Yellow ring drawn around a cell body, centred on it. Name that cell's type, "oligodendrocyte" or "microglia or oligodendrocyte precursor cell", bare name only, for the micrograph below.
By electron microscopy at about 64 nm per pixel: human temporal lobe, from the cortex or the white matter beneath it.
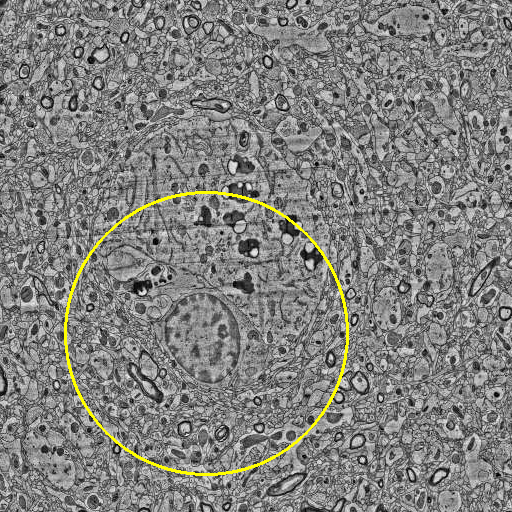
oligodendrocyte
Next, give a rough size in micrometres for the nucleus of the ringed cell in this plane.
In this plane, roughly 6 by 5 micrometres.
